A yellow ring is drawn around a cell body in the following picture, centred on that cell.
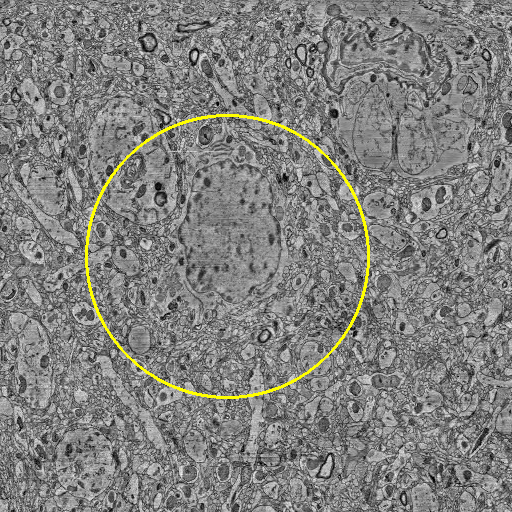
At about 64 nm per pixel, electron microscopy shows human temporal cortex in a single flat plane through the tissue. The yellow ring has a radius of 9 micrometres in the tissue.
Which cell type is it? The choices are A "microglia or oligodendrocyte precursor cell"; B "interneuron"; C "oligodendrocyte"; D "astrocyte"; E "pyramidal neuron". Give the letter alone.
D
